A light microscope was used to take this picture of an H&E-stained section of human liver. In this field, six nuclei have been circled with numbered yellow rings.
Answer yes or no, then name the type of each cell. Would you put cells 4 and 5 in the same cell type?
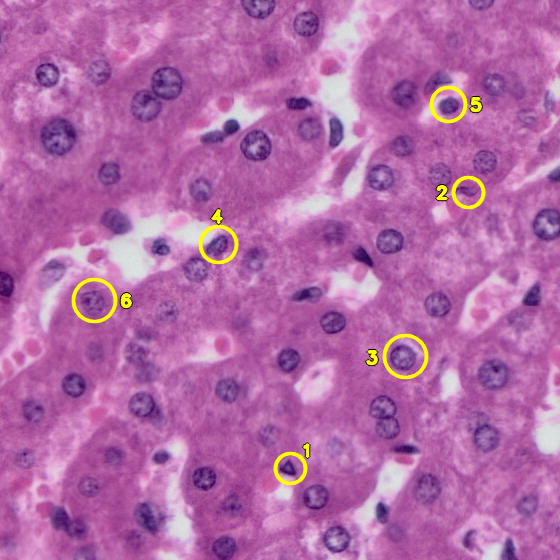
No, cell 4 is a fibroblast or stellate cell and cell 5 is a lymphocyte.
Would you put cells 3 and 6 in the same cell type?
Yes, both are hepatocytes.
